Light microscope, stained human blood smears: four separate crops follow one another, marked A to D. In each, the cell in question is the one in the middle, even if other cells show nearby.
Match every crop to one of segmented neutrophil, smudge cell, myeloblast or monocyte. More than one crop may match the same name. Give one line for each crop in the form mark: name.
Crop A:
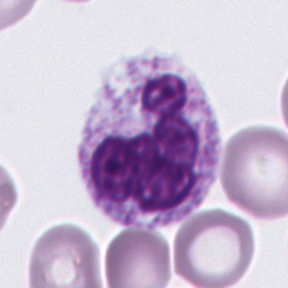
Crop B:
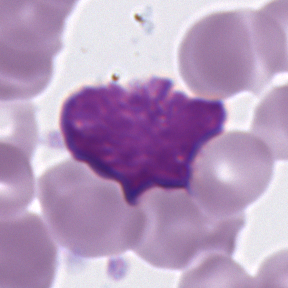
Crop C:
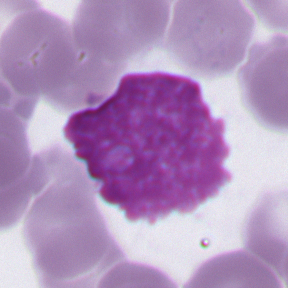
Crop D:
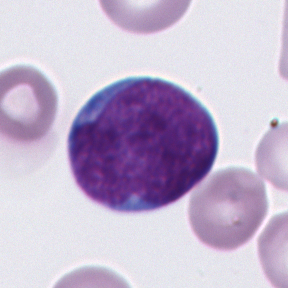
A: segmented neutrophil
B: smudge cell
C: smudge cell
D: myeloblast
